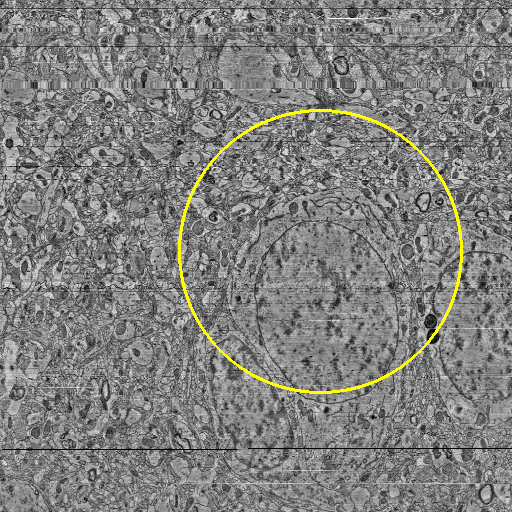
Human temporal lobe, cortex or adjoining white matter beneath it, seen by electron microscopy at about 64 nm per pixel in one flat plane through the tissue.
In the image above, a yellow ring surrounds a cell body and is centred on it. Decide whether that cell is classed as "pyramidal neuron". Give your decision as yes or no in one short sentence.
Yes, it is classed as that kind.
